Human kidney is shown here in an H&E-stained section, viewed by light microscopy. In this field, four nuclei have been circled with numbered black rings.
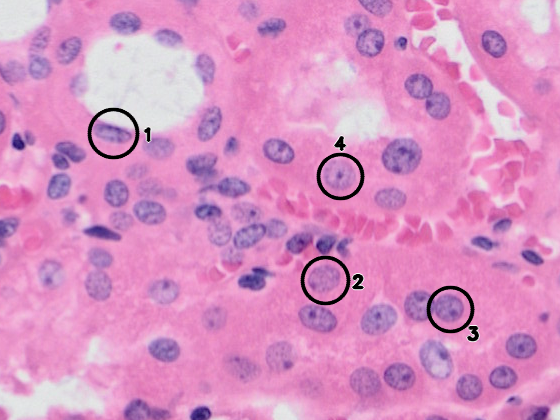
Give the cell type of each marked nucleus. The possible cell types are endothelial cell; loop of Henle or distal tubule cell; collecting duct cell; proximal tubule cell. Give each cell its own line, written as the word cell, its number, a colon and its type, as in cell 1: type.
cell 1: loop of Henle or distal tubule cell
cell 2: proximal tubule cell
cell 3: proximal tubule cell
cell 4: proximal tubule cell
